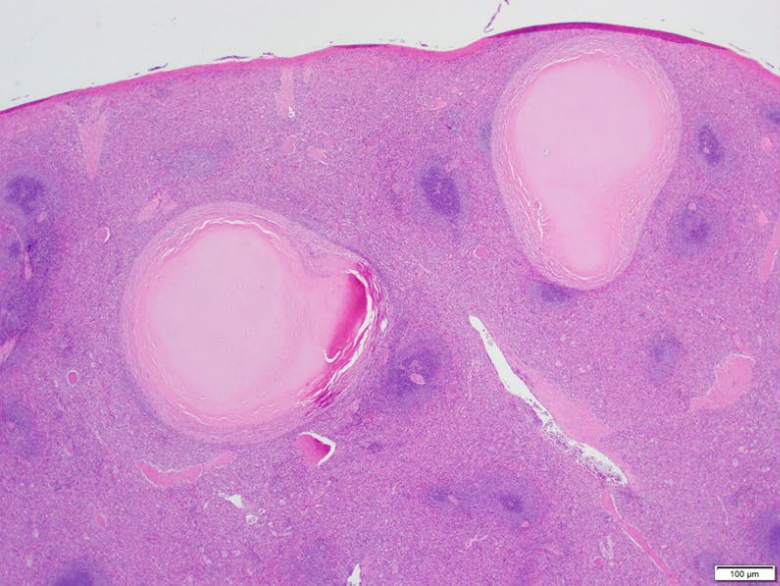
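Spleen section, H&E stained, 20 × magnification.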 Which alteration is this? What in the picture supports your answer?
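Two large, well-circumscribed round nodules stand out from the surrounding tissue. Their centres are pale, homogeneous and pink, without nuclei. A rim of paler, layered tissue surrounds each pink centre. On this evidence: necrotizing granulomata.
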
